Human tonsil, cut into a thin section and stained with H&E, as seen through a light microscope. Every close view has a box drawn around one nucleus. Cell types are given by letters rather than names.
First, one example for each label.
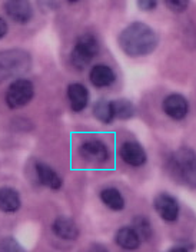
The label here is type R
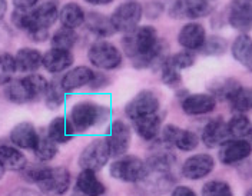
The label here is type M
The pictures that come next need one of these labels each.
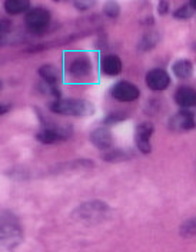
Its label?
type R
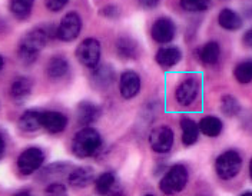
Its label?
type R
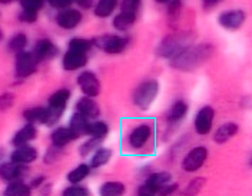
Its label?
type R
